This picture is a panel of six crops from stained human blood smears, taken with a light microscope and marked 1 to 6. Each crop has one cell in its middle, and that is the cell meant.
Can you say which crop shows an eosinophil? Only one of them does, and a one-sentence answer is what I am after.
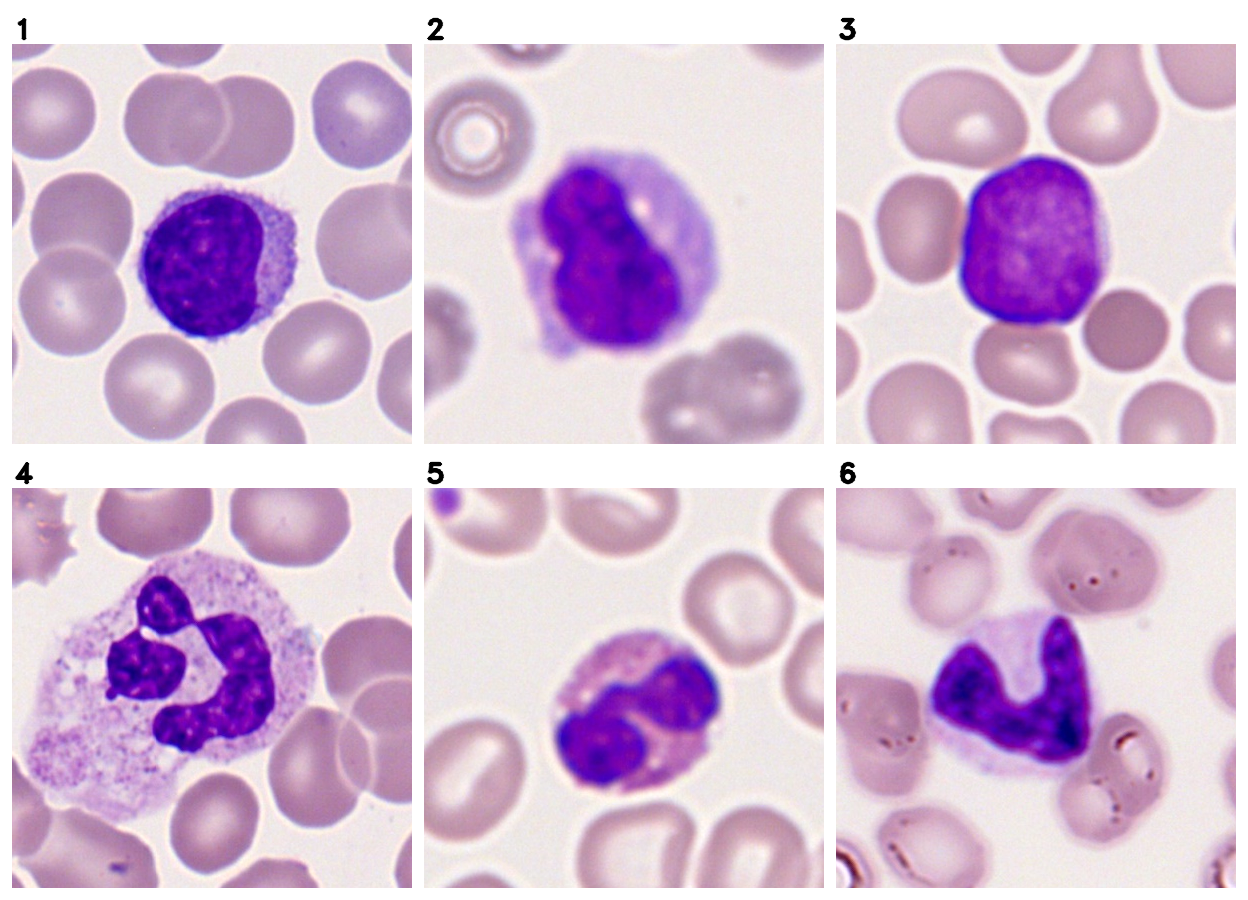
Of the crops given, an eosinophil is found in crop 5.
